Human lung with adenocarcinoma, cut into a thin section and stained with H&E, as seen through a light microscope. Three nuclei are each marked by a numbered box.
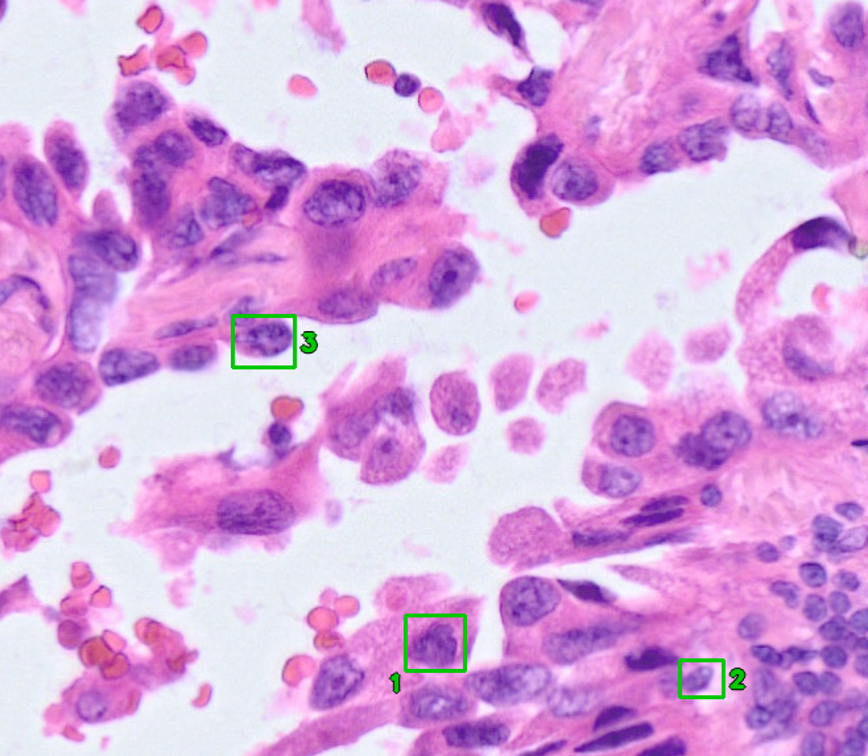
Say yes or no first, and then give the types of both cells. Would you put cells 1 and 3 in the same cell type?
Yes, both are carcinoma cells.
